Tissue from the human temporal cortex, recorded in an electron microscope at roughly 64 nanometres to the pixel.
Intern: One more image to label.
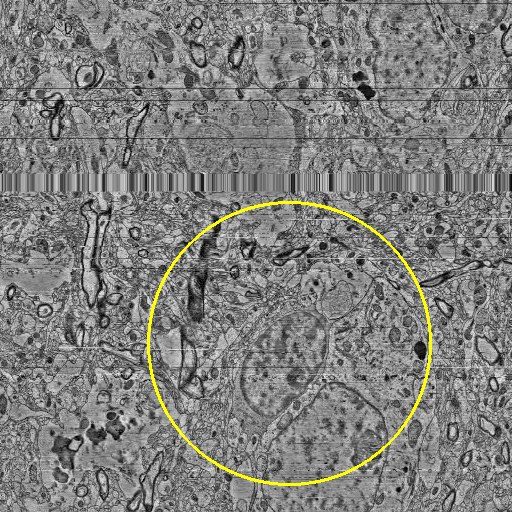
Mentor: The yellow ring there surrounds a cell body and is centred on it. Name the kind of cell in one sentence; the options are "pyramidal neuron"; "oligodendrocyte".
The ring marks the cell body of an oligodendrocyte.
